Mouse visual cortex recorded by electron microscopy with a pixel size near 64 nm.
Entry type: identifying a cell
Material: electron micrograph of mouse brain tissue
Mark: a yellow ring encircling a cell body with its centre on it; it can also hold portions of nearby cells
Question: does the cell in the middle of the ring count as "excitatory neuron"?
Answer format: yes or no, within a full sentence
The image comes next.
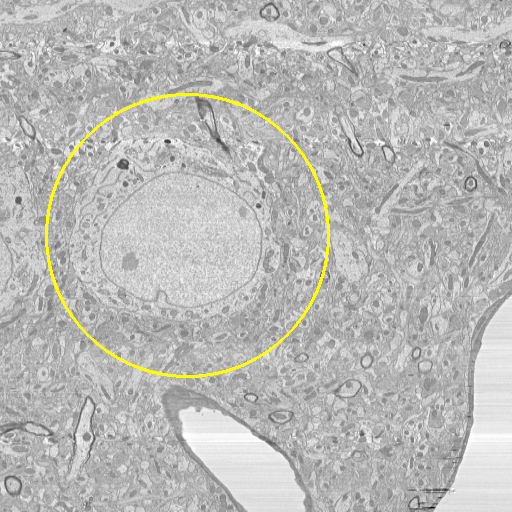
Yes, in the image, the cell in the middle of the yellow ring counts as the queried kind.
